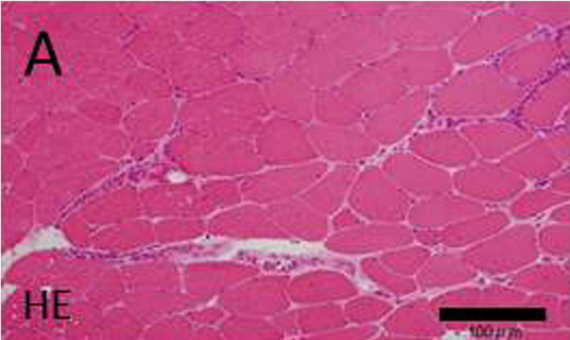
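Skeletal muscle in cross-section with mononuclear inflammatory cells lying between the fibers. The muscle fibers are polygonal, pink and of somewhat varied size, packed closely together with thin pale spaces between them. Small, dark purple, round nuclei of inflammatory cells are scattered in the thin connective tissue around single fibers and gather more densely in the broader septa that separate groups of fibers. Near the lower left a vessel lumen lies in such a septum, with small dark cells crowded around it. The fibers themselves keep a smooth, evenly pink interior.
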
